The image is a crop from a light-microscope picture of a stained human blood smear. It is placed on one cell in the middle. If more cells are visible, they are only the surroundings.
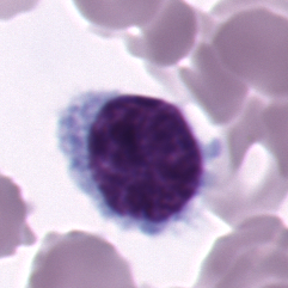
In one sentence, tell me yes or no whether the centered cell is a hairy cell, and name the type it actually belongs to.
Yes, the central cell here is a hairy cell.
